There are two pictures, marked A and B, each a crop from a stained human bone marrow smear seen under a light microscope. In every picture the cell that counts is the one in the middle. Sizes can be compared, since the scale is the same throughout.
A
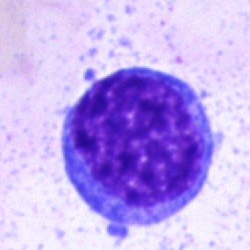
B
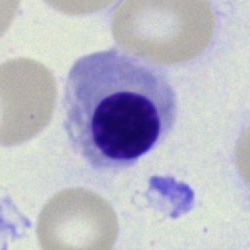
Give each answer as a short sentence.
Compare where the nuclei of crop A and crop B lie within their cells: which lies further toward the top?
Seen within its cell, the nucleus in crop A lies further toward the top.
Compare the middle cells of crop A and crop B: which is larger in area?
The cell in crop A is larger, with about 2 times the area of the one in crop B.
